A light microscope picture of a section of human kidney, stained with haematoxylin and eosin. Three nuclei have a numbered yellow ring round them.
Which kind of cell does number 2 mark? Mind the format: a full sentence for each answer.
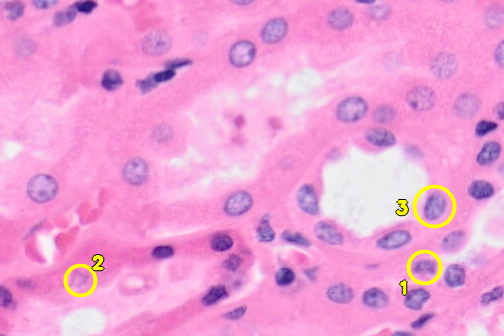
The numeral 2 marks a proximal tubule cell in this section.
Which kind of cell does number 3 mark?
In the tissue shown, cell 3 is a loop of Henle or distal tubule cell.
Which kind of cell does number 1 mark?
The cell that bears the number 1 is a loop of Henle or distal tubule cell.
